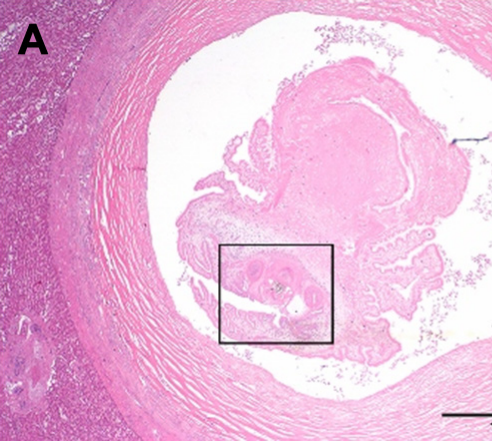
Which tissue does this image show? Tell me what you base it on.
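A broad pink ring of concentric, wavy, fibre-like layers surrounds the central cavity. The ring is poor in nuclei compared with the darker purple tissue outside it.
Thick fibrous tissue.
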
